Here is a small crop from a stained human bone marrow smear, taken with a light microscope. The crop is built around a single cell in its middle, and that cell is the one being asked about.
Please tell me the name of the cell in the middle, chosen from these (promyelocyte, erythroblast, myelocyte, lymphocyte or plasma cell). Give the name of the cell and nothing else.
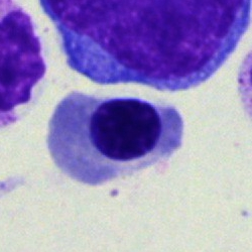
erythroblast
